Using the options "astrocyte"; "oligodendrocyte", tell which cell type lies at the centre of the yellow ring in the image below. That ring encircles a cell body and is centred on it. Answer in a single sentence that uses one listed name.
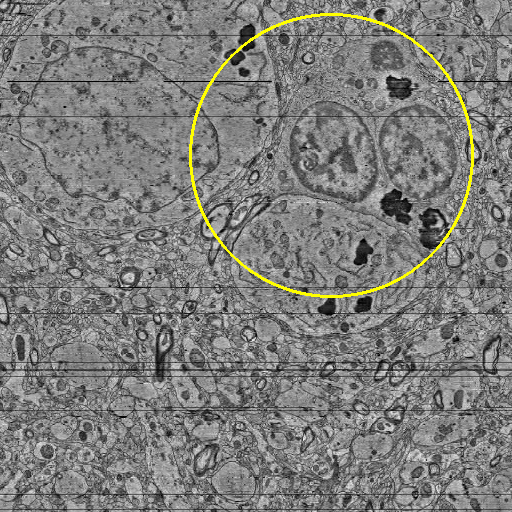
At the centre of the yellow ring lies the body of an oligodendrocyte.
